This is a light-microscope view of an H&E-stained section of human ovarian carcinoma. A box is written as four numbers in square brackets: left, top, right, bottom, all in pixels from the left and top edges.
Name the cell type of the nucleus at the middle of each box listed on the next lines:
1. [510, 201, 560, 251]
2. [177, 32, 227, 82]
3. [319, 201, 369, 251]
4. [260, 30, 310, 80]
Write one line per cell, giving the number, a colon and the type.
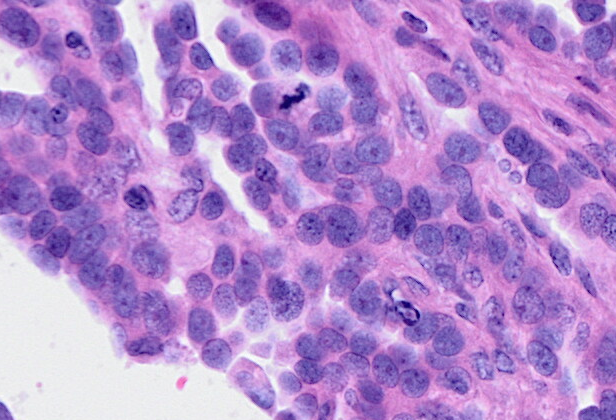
1: fibroblast
2: carcinoma cell
3: carcinoma cell
4: carcinoma cell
